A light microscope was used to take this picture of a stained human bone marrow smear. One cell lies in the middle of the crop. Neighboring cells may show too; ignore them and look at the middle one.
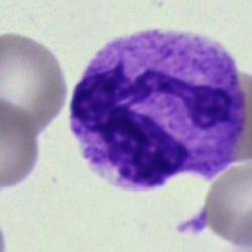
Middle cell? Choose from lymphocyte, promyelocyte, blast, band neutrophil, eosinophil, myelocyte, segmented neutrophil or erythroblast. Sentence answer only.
The middle of this crop is occupied by a segmented neutrophil.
